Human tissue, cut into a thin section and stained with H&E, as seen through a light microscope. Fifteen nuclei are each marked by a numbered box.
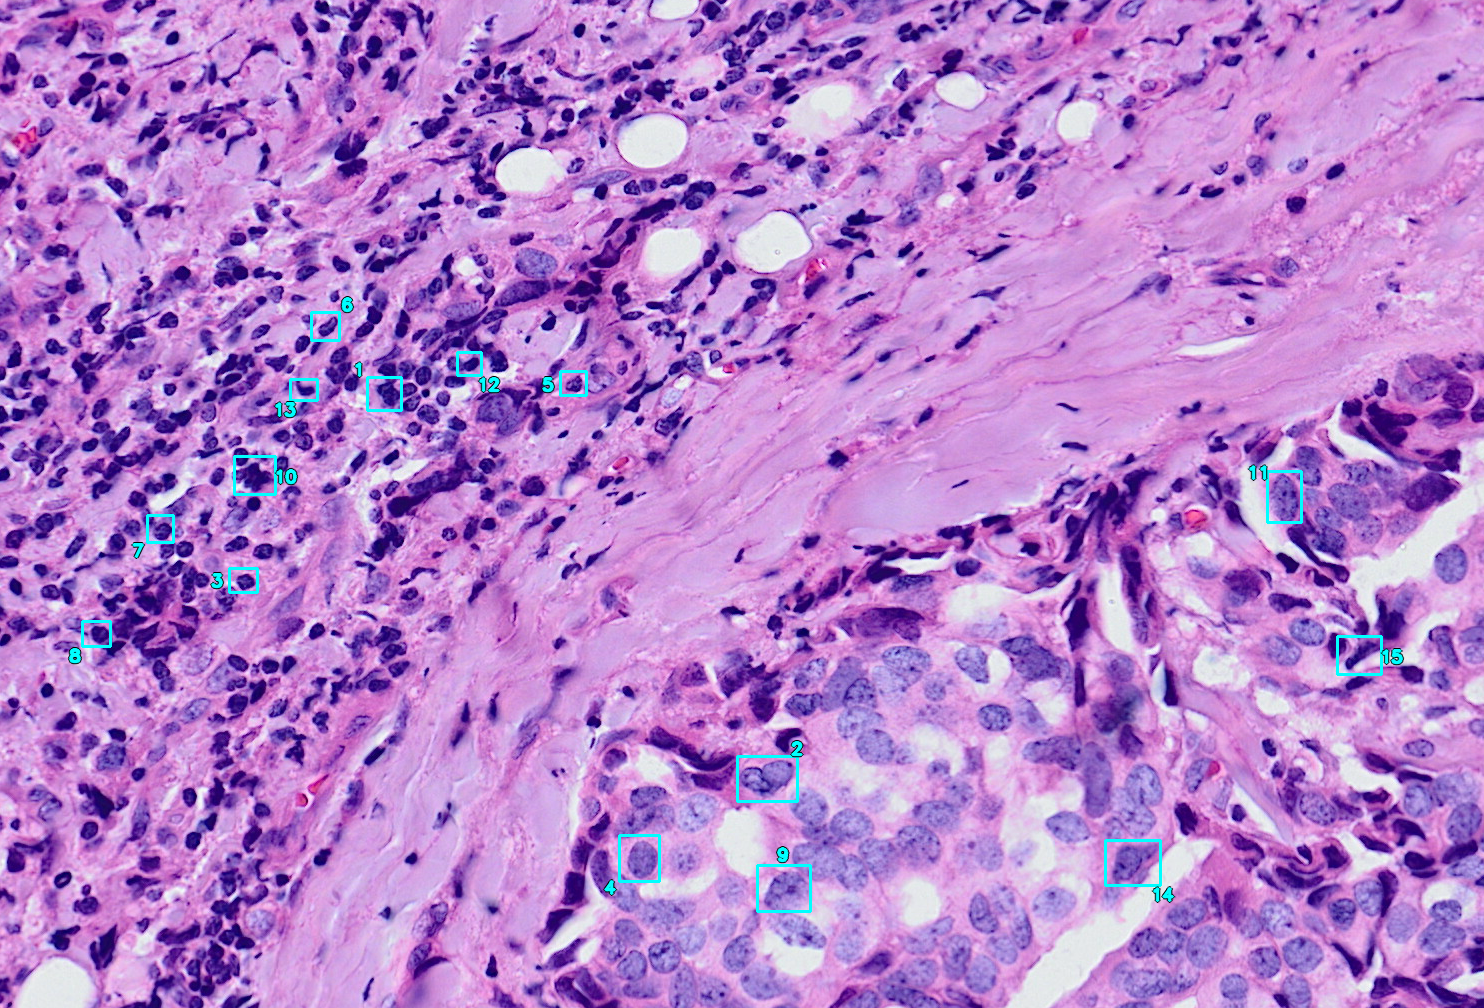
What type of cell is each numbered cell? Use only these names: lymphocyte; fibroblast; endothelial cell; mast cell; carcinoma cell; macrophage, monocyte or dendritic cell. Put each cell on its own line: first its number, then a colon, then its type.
1: lymphocyte
2: carcinoma cell
3: lymphocyte
4: carcinoma cell
5: endothelial cell
6: lymphocyte
7: lymphocyte
8: lymphocyte
9: carcinoma cell
10: lymphocyte
11: carcinoma cell
12: lymphocyte
13: lymphocyte
14: carcinoma cell
15: carcinoma cell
